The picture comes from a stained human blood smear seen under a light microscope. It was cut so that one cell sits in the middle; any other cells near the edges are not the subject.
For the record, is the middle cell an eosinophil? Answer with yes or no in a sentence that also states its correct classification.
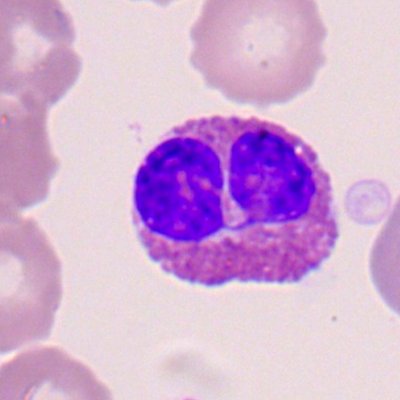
Yes, in the centre of this field sits an eosinophil.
